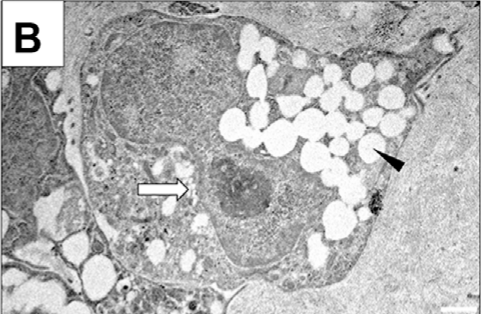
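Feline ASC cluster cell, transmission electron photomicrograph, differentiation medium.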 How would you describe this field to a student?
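A large oval nucleus with finely granular chromatin and a darker compact nucleolus sits toward one side. The cytoplasm on the other side is crowded with numerous round, clear, electron-lucent vacuoles of varying size, many packed tightly against one another and pushing toward the cell edge. A few smaller vacuoles lie close to the nucleus. The cell is outlined by a dark rim and bordered by neighbouring cells with similar clear spaces.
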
